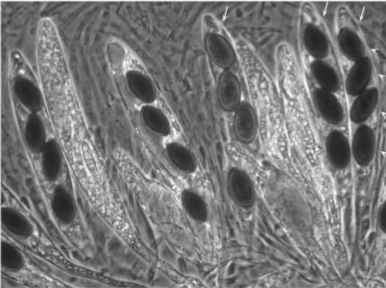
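This phase-contrast image shows a cluster of asci, elongated sacs, some of which bear ascospores. Several asci hold rows of dark, oval ascospores stacked along their length. Other asci are pale and filled with granular, vacuolated contents without dark spores. The asci lie side by side in a loosely fanned bundle, with thin filamentous material visible in the background at the top.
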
